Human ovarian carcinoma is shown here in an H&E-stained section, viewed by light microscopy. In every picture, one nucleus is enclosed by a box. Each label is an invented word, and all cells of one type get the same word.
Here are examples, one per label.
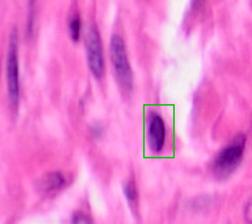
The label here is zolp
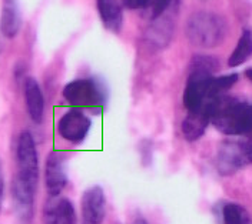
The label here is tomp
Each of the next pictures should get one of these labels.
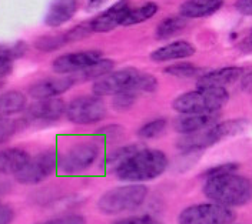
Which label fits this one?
tomp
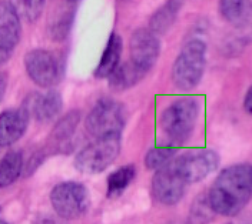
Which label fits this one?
tomp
